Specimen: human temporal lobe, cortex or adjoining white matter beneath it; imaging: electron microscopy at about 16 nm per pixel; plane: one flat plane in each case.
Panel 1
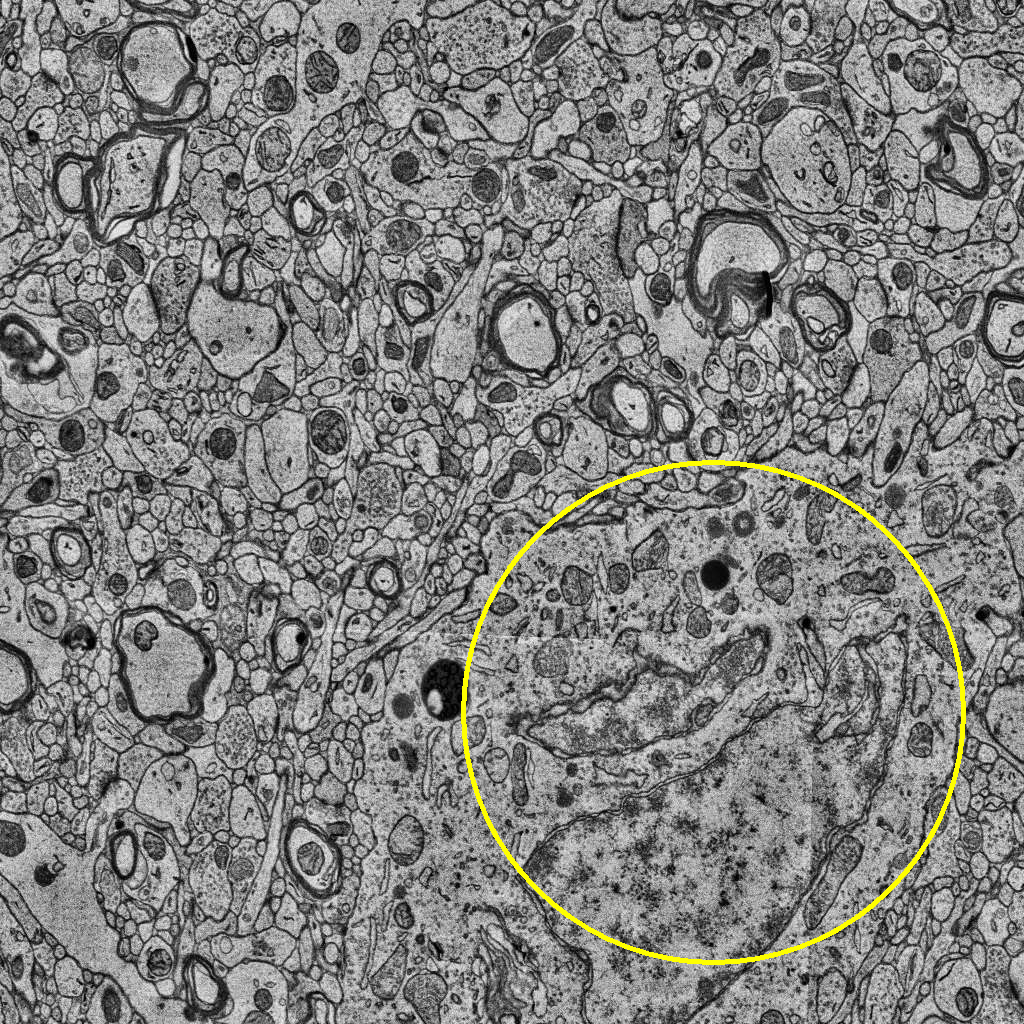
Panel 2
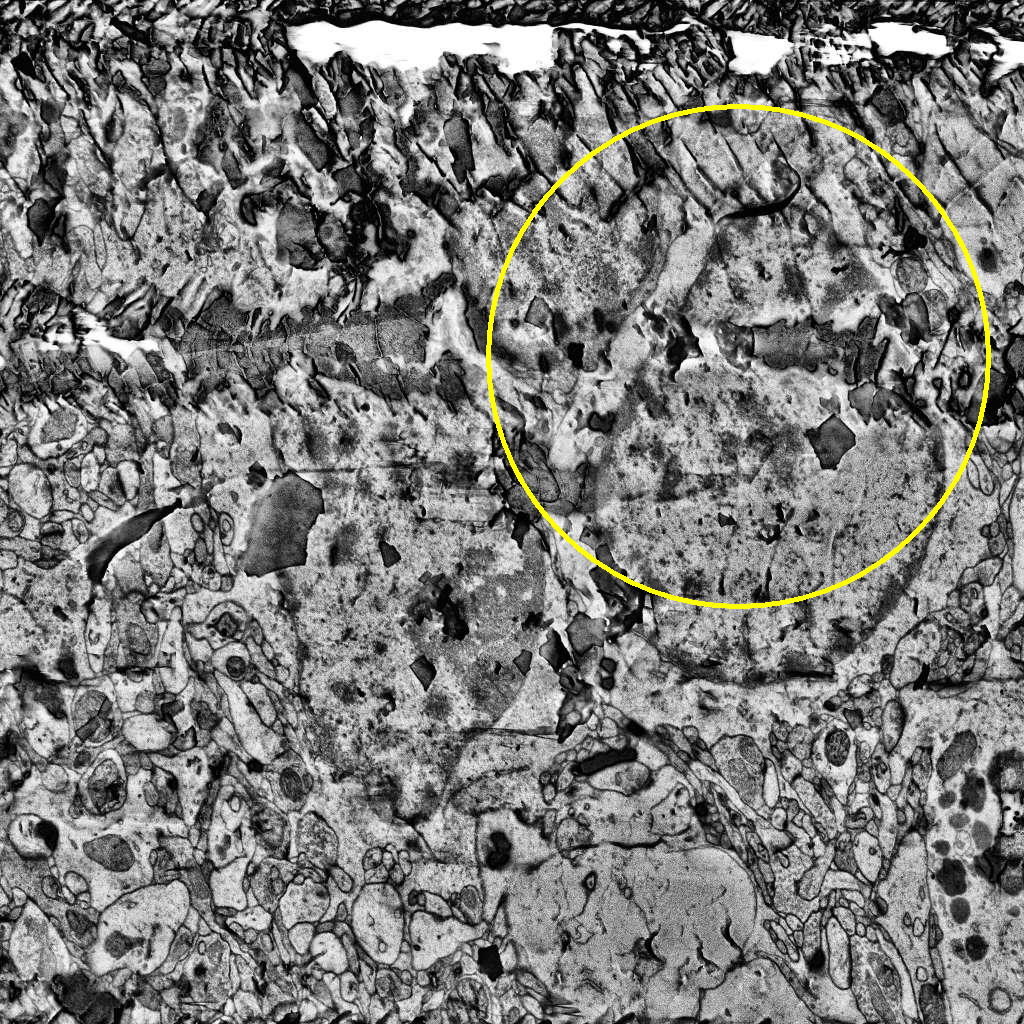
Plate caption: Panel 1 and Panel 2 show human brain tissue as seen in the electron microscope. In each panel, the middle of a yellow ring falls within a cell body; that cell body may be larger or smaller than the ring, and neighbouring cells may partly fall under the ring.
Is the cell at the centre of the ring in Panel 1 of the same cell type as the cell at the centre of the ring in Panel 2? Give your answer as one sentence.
No, the two cells are of two types.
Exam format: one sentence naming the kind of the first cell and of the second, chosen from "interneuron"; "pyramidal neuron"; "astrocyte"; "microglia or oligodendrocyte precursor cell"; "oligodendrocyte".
Of the two, the first cell is an interneuron and the second cell is an astrocyte.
